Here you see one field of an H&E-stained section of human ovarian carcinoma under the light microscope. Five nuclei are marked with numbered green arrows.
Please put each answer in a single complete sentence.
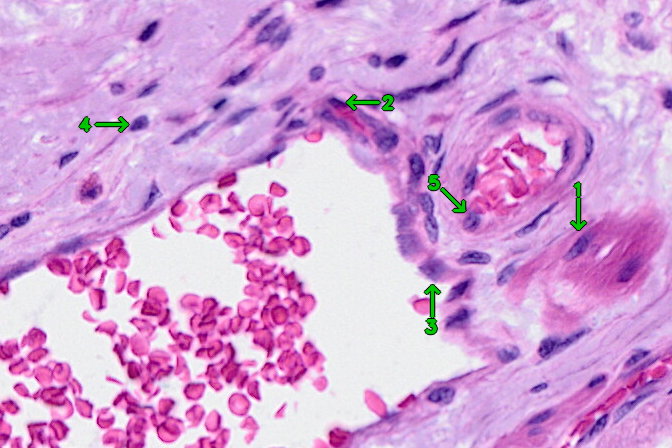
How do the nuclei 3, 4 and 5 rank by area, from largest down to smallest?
From largest to smallest, the order is 3, 5, 4.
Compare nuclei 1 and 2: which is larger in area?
Of the two, number 1 is bigger and takes up about 1.5 times the area of number 2.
